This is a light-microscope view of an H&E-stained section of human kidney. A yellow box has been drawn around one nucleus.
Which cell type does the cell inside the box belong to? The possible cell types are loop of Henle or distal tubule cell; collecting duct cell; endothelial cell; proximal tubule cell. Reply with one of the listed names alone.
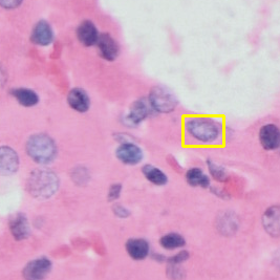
loop of Henle or distal tubule cell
